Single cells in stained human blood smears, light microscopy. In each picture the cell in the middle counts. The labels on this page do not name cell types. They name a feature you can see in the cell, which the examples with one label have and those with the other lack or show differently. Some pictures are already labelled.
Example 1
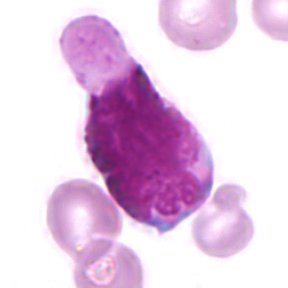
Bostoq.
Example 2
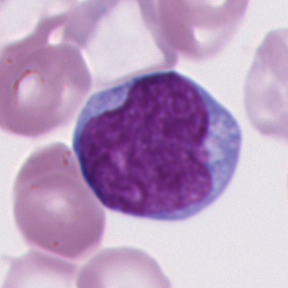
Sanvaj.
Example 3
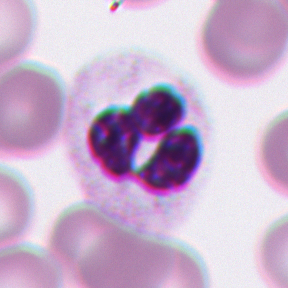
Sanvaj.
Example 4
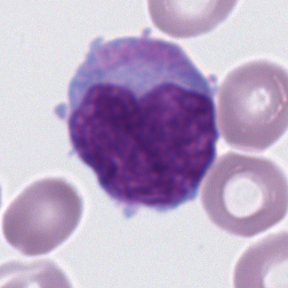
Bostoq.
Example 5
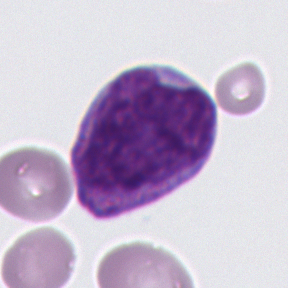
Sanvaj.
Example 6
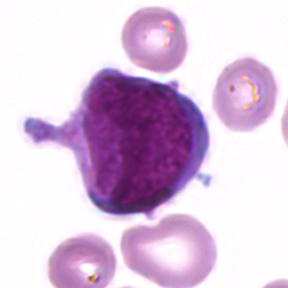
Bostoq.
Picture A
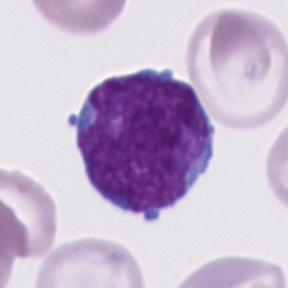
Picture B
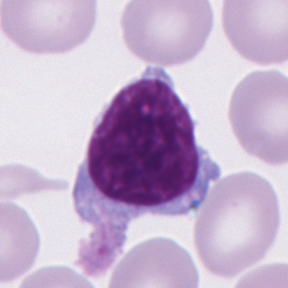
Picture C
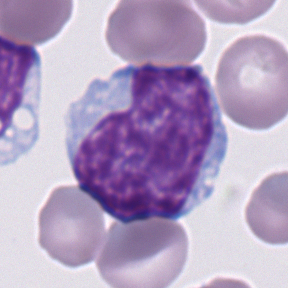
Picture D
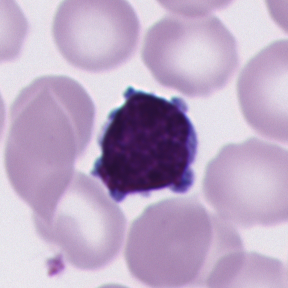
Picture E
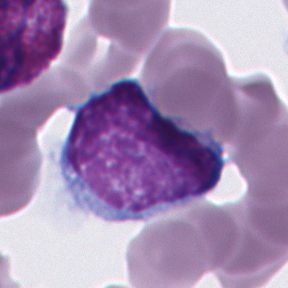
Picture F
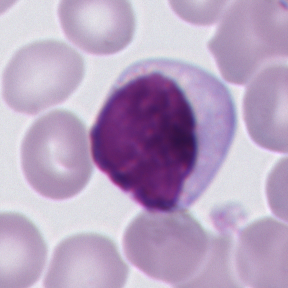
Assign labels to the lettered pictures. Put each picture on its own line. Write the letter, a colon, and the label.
A: Bostoq.
B: Bostoq.
C: Bostoq.
D: Bostoq.
E: Bostoq.
F: Sanvaj.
